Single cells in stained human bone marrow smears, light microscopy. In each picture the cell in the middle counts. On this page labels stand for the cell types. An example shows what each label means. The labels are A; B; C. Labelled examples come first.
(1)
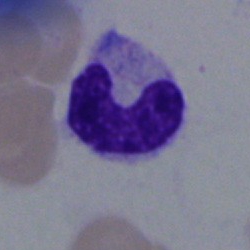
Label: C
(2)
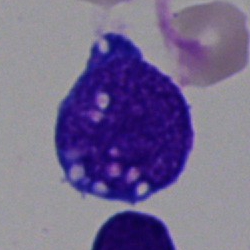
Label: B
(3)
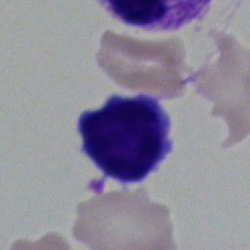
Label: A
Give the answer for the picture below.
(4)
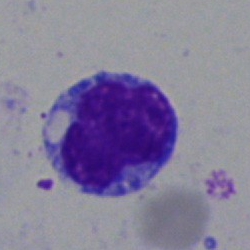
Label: A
